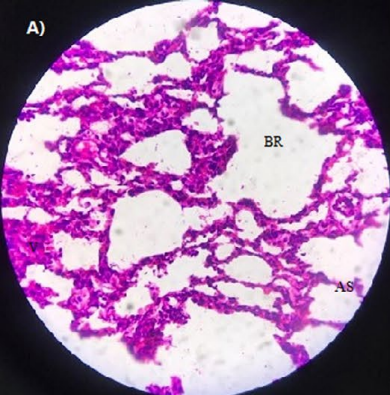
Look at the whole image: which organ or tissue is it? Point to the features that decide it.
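Lung tissue. Many thin-walled empty air spaces separated by narrow pink-purple walls. Sponge-like network of spaces typical of lung parenchyma.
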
